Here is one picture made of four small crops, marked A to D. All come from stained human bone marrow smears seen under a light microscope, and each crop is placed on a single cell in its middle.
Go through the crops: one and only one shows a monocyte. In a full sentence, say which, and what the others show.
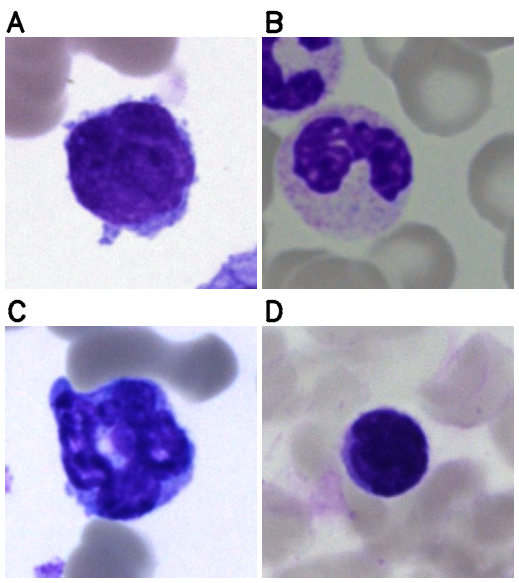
Identified in crop C is a monocyte, whereas crop A is a blast, crop B is a segmented neutrophil and crop D is a lymphocyte.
